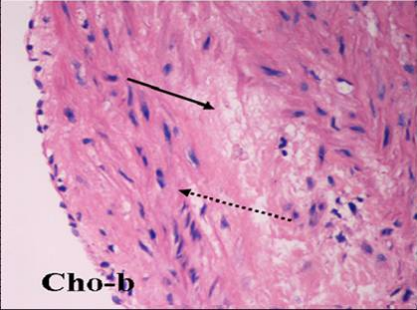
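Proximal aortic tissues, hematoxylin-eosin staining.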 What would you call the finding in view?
Smooth muscle cell proliferation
